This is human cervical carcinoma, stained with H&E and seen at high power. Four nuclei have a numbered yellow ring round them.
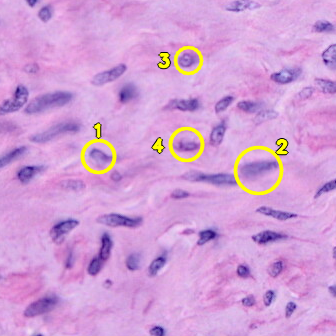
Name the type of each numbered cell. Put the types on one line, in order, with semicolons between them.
smooth muscle cell; fibroblast; smooth muscle cell; smooth muscle cell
